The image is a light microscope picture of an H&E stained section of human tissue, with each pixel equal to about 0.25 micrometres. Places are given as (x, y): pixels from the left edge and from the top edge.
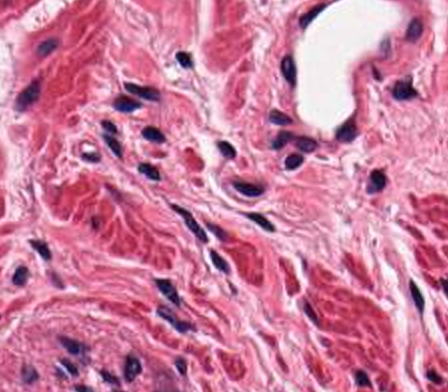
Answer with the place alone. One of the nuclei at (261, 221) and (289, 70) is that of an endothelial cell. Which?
(289, 70)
